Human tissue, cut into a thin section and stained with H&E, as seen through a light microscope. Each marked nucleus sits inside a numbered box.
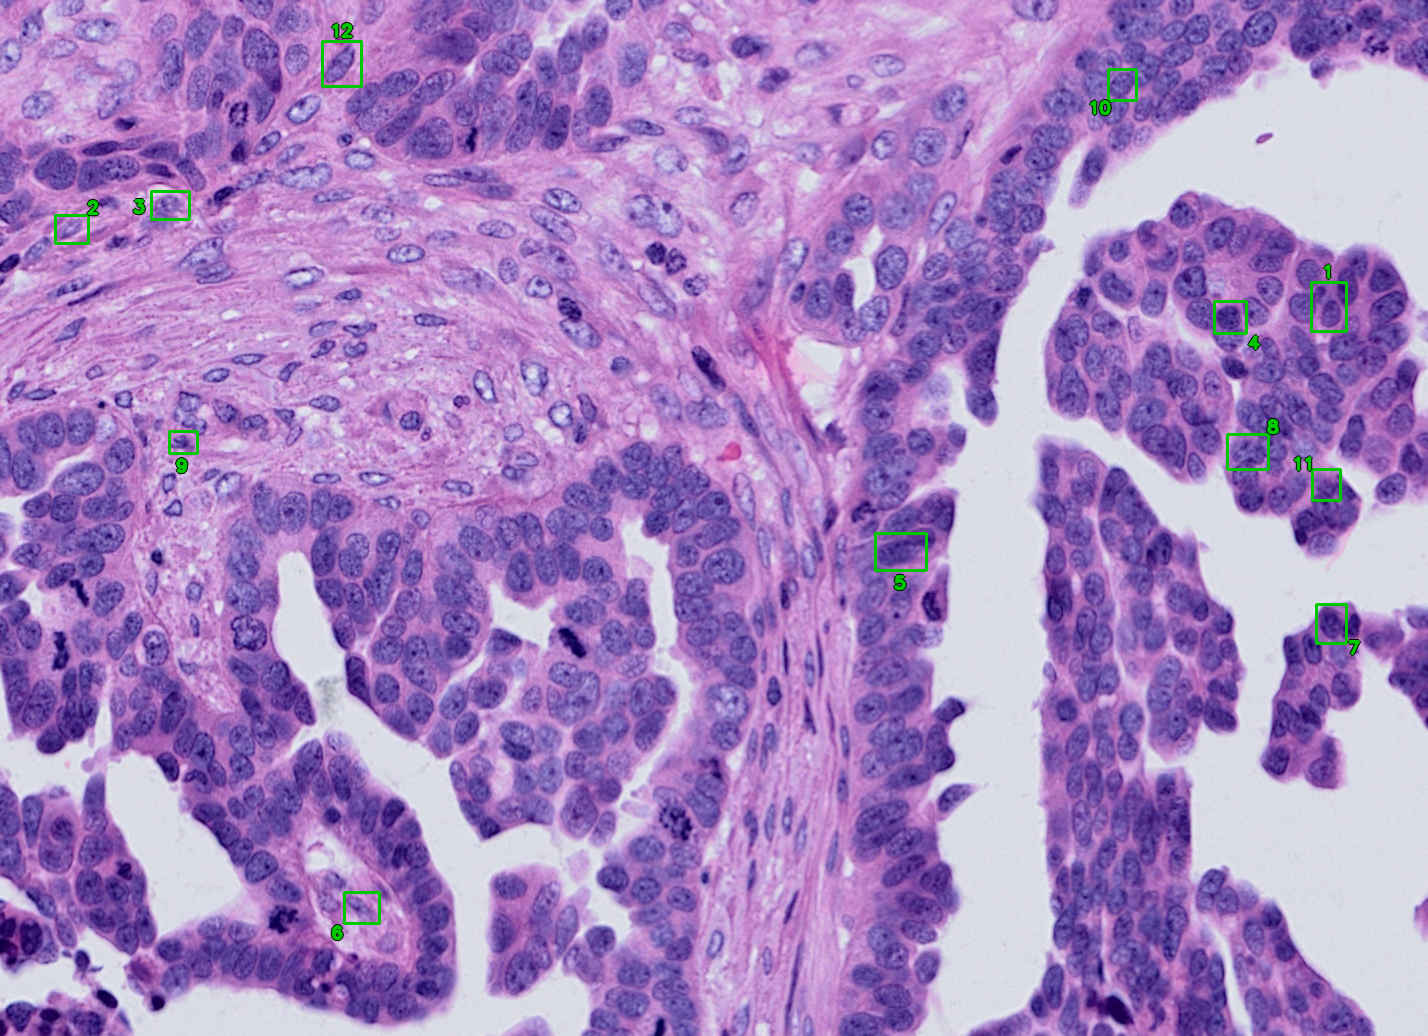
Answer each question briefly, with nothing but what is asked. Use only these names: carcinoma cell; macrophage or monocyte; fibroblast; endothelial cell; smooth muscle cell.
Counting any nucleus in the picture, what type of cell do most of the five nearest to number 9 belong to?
endothelial cell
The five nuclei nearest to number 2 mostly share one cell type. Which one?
fibroblast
